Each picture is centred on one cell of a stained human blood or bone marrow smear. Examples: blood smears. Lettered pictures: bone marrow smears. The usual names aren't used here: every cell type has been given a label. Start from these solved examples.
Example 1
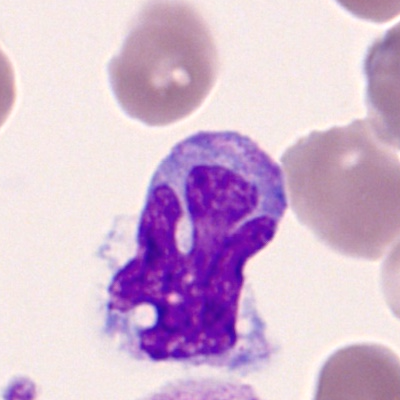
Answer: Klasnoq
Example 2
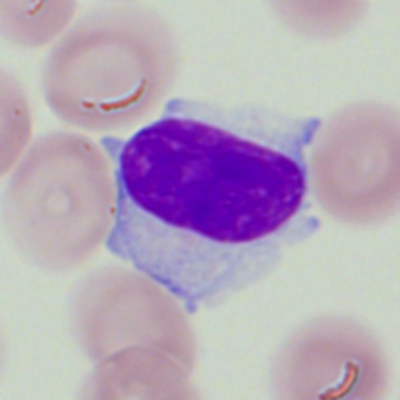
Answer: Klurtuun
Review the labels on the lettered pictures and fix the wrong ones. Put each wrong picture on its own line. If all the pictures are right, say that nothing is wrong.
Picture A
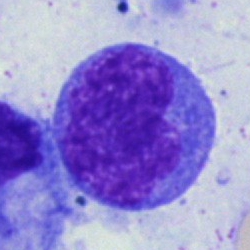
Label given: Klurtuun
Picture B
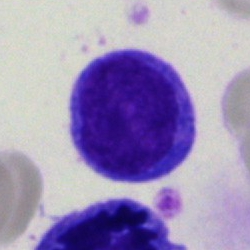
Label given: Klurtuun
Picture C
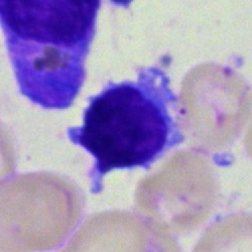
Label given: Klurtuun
A is labelled Klurtuun; correct label: Klasnoq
